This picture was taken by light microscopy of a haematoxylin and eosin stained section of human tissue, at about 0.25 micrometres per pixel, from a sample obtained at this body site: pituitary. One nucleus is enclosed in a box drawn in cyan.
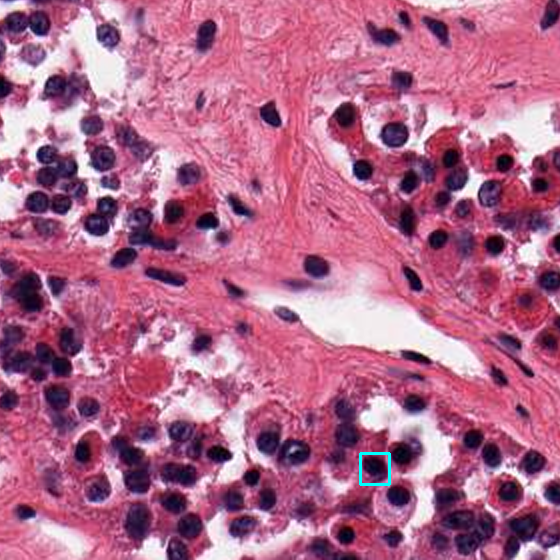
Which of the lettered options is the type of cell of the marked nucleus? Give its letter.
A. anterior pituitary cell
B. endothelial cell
A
